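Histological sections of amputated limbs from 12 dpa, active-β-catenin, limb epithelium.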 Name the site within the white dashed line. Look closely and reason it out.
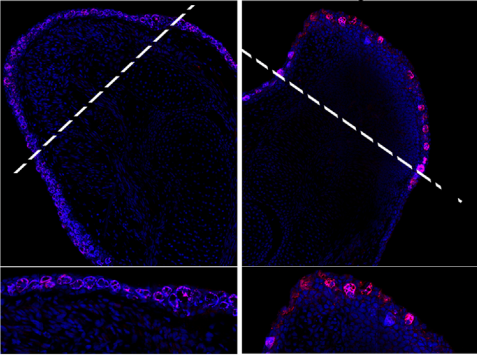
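A white dashed line crosses the limb section obliquely. Tissue extends beyond the line toward the rounded tip. So: the amputation plane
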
